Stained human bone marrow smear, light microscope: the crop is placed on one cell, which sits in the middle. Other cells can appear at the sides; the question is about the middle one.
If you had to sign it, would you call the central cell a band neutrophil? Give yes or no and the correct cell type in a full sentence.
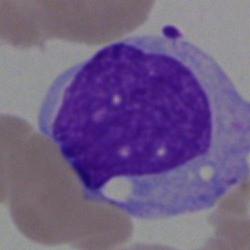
No, what the centre of the crop shows is a monocyte, not a band neutrophil.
